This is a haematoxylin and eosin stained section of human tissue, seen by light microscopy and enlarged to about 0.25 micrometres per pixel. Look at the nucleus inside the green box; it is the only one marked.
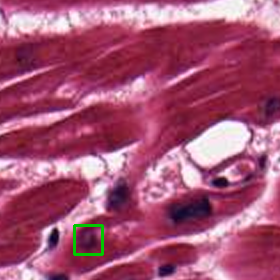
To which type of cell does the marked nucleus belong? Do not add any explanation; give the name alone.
cardiomyocyte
